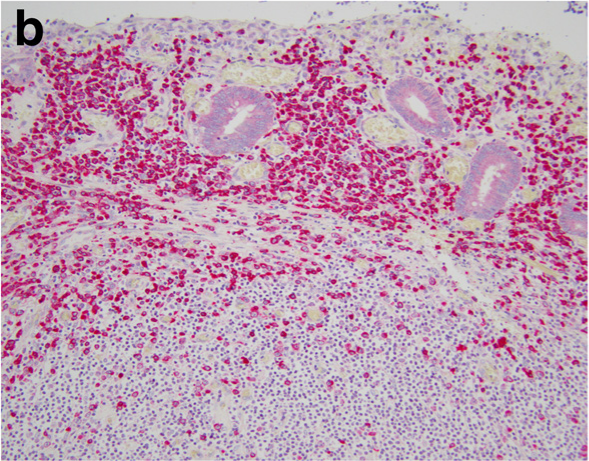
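Mucosa with abundant plasma cells in the upper stroma. Many round cells with red cytoplasm and eccentric blue nuclei crowd the lamina between glands, forming dense sheets. Glands are cut in cross-section, lined by columnar cells with blue nuclei and unstained pink-purple cytoplasm. Small vessels with pale contents lie among the red cells. Toward the bottom the red cells thin out into a band and a field of small blue-nucleated cells with only scattered red cells takes over.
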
